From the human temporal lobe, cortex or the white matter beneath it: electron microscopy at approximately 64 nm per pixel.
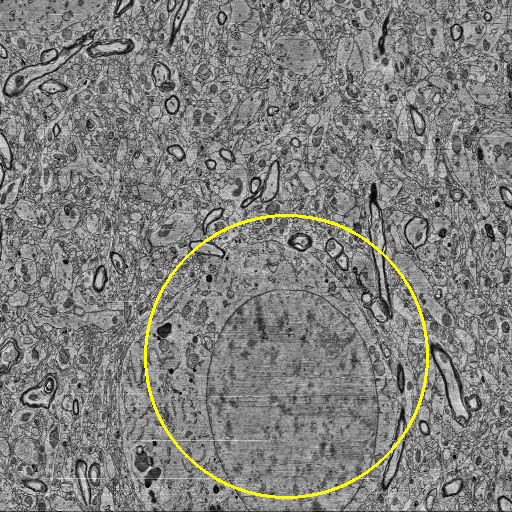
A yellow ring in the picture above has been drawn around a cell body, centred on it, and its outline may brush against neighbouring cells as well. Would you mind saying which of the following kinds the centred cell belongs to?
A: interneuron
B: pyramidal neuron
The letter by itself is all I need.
B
